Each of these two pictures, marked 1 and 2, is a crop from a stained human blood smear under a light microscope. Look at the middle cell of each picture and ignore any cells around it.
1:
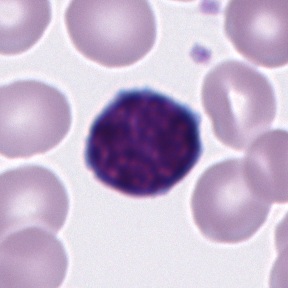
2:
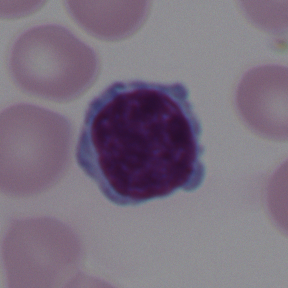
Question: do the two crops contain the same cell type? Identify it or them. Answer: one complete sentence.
Yes, what both crops show at their centres are typical lymphocytes.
